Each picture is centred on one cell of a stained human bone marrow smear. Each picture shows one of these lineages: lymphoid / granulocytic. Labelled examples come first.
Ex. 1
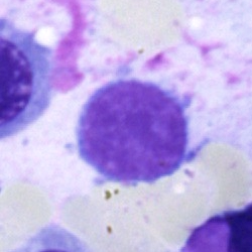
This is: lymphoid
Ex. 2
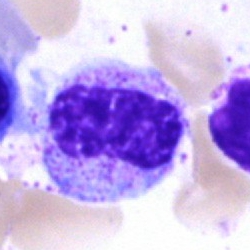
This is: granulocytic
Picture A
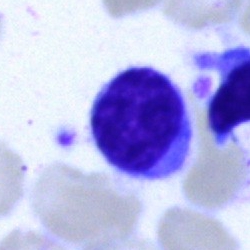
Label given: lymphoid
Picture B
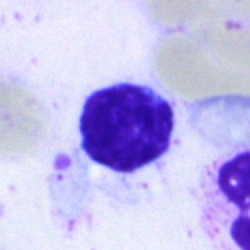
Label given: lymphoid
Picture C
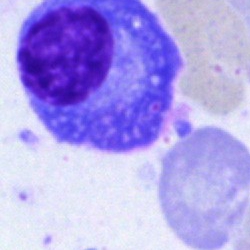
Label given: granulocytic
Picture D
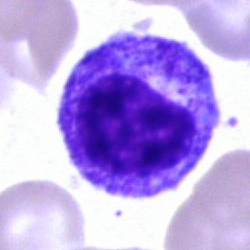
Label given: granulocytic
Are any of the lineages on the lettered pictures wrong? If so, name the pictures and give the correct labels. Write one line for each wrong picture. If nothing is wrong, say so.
C should be lymphoid, not granulocytic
